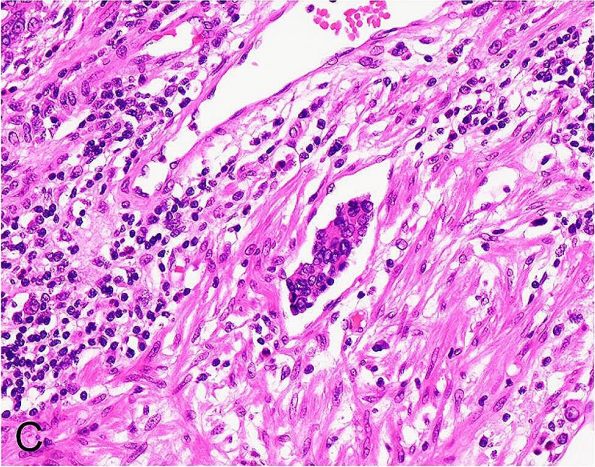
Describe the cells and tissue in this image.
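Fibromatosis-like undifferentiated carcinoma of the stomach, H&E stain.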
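The clustered cells have large, crowded, dark-staining nuclei and scant cytoplasm. Around the vessel lies a stroma of spindle cells with pale wavy pink fibres, mixed with many small round dark-nucleated inflammatory cells, and a few red blood cells sit in a nearby lumen.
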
